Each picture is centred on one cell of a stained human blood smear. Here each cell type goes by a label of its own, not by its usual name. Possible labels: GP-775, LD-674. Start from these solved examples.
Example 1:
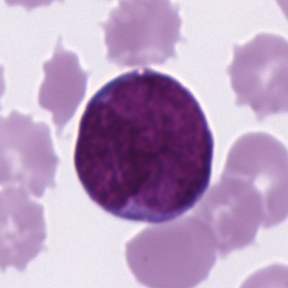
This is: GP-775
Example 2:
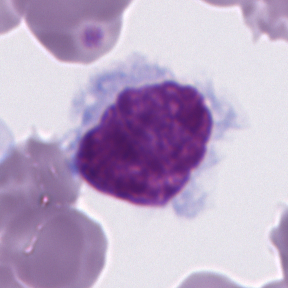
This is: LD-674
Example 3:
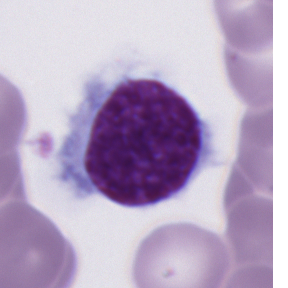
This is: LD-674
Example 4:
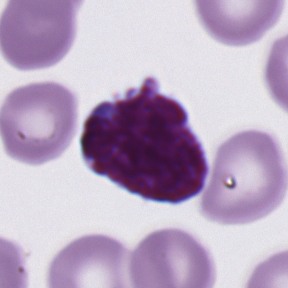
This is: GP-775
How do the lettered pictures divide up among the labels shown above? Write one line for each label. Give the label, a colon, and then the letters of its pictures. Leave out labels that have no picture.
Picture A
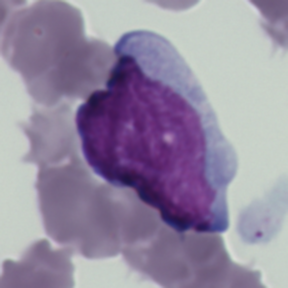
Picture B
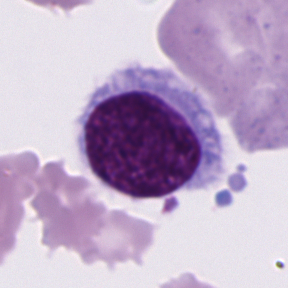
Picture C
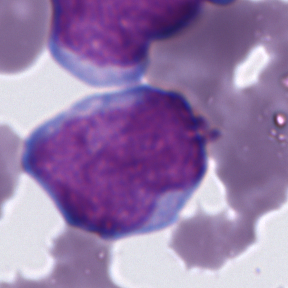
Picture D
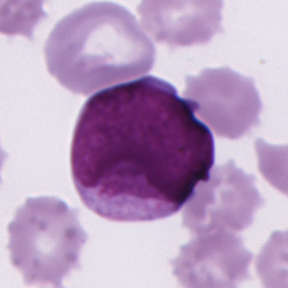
GP-775: A, C, D
LD-674: B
